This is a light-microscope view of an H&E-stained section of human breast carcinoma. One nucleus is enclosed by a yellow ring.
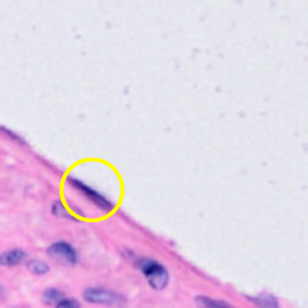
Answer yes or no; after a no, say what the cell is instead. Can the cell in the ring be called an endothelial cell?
Yes.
